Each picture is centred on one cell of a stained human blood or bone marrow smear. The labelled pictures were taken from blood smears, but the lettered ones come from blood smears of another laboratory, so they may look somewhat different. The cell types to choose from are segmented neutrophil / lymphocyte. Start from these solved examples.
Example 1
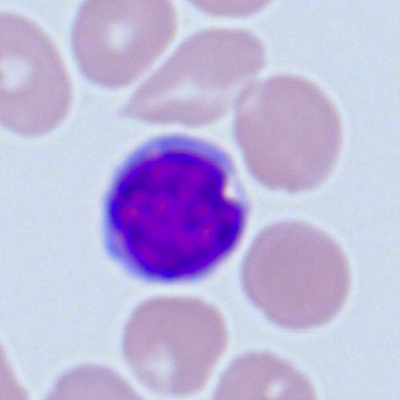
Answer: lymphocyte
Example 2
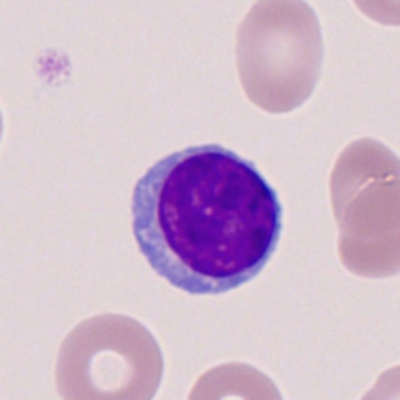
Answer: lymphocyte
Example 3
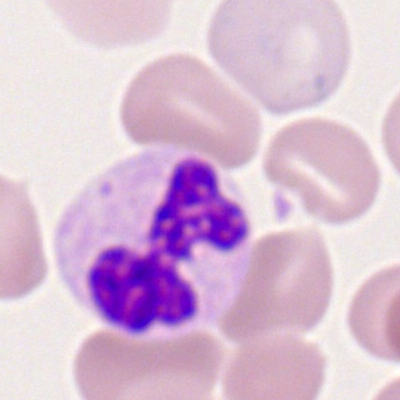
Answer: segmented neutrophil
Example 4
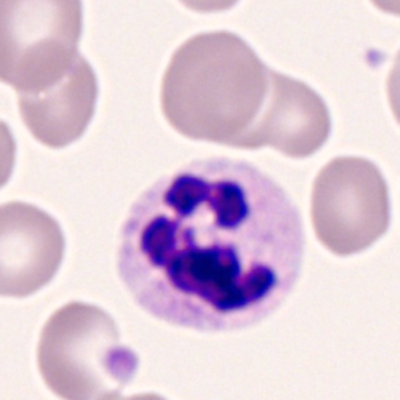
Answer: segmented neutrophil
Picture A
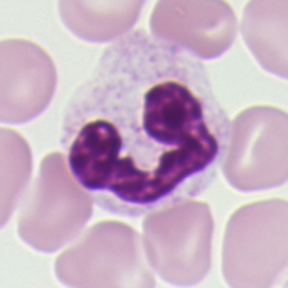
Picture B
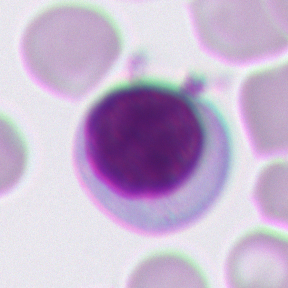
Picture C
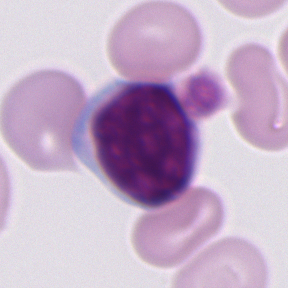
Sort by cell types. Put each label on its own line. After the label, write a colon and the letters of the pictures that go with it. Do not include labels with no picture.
segmented neutrophil: A
lymphocyte: B, C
